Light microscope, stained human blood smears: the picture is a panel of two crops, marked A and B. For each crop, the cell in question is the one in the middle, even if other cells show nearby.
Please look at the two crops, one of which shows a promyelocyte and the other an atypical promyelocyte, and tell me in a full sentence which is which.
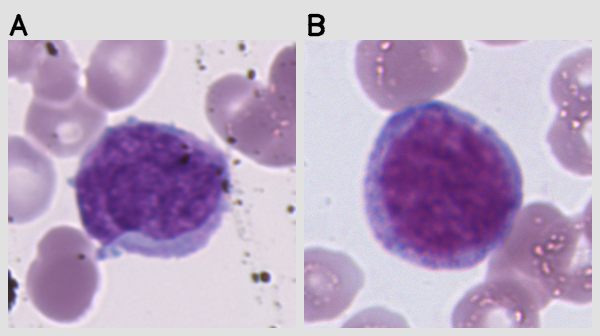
Among the crops, crop A is an atypical promyelocyte and crop B is a promyelocyte.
